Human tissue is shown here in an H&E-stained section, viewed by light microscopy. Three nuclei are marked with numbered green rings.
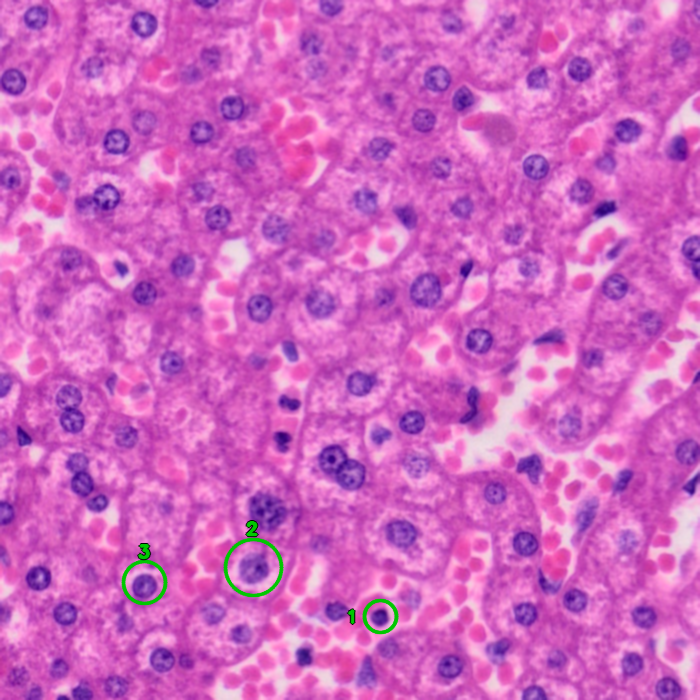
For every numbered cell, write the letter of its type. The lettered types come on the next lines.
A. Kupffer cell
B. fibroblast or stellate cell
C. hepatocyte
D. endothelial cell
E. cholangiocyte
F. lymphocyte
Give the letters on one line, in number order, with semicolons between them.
F; C; C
